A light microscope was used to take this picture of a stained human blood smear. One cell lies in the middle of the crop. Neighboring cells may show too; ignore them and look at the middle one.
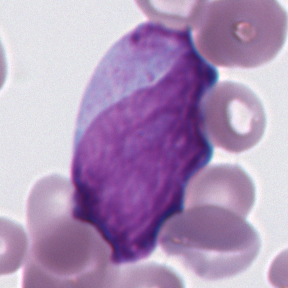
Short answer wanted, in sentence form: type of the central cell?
Occupying the centre of the crop is an atypical promyelocyte.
